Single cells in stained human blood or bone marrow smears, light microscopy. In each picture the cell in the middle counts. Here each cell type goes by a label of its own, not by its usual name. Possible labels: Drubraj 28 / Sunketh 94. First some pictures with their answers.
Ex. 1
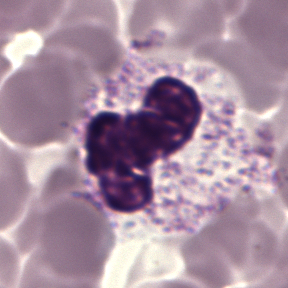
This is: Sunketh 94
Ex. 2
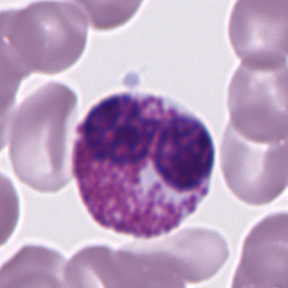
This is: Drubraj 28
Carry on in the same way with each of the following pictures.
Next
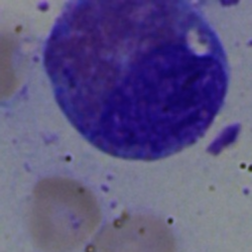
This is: Drubraj 28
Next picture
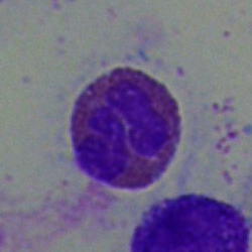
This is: Drubraj 28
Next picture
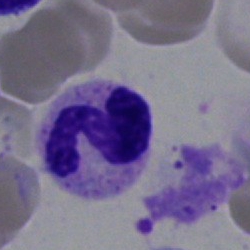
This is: Sunketh 94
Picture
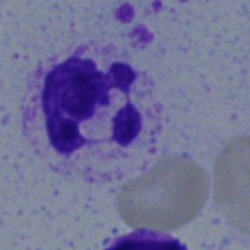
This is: Sunketh 94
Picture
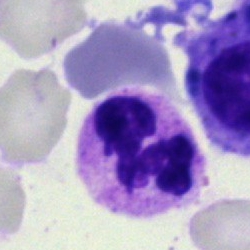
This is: Sunketh 94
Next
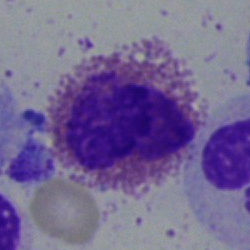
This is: Drubraj 28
